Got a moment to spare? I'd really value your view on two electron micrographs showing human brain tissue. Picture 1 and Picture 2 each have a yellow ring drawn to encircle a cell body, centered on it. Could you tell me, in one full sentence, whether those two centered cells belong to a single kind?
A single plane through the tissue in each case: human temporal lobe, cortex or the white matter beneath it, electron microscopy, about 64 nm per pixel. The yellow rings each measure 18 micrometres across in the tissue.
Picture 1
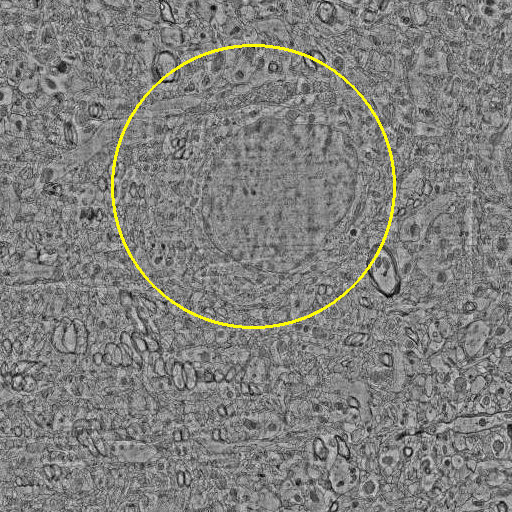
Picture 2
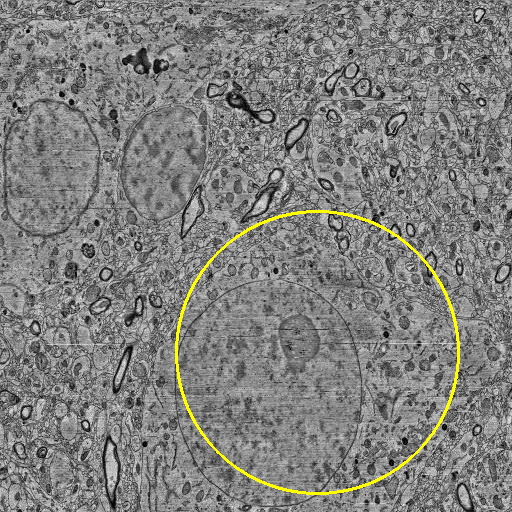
No, the two centered cells in Picture 1 and Picture 2 are of two kinds.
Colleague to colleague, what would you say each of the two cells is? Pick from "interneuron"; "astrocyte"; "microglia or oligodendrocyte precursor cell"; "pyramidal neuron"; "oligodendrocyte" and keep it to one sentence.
The cell in the first picture is an interneuron; the second picture's cell is a pyramidal neuron.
